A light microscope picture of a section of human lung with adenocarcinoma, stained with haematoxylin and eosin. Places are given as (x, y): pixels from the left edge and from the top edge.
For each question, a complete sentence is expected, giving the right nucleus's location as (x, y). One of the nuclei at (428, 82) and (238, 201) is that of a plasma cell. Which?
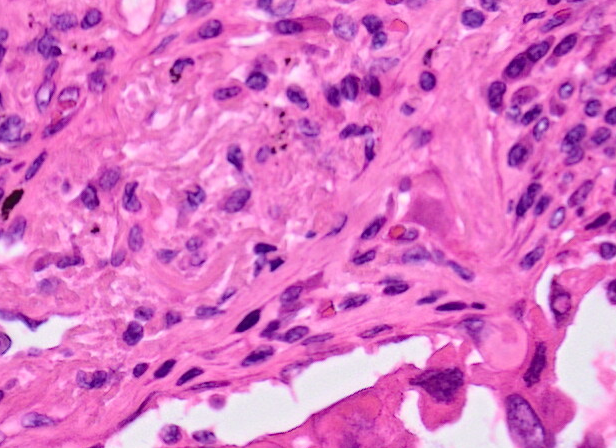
The nucleus at (238, 201) is the one of the two that belongs to a plasma cell.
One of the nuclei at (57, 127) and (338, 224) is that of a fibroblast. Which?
Located at (338, 224), this nucleus is the one belonging to a fibroblast.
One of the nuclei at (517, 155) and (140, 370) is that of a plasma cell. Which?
The one nucleus of the two that belongs to a plasma cell is at (517, 155).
